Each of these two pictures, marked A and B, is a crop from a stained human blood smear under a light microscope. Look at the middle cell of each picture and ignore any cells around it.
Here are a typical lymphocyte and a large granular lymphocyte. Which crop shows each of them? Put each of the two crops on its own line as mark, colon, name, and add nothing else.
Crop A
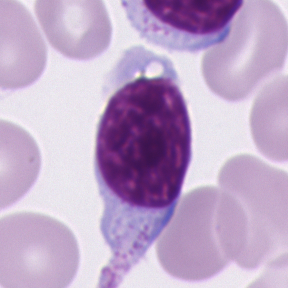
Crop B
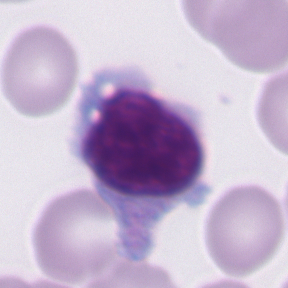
A: large granular lymphocyte
B: typical lymphocyte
